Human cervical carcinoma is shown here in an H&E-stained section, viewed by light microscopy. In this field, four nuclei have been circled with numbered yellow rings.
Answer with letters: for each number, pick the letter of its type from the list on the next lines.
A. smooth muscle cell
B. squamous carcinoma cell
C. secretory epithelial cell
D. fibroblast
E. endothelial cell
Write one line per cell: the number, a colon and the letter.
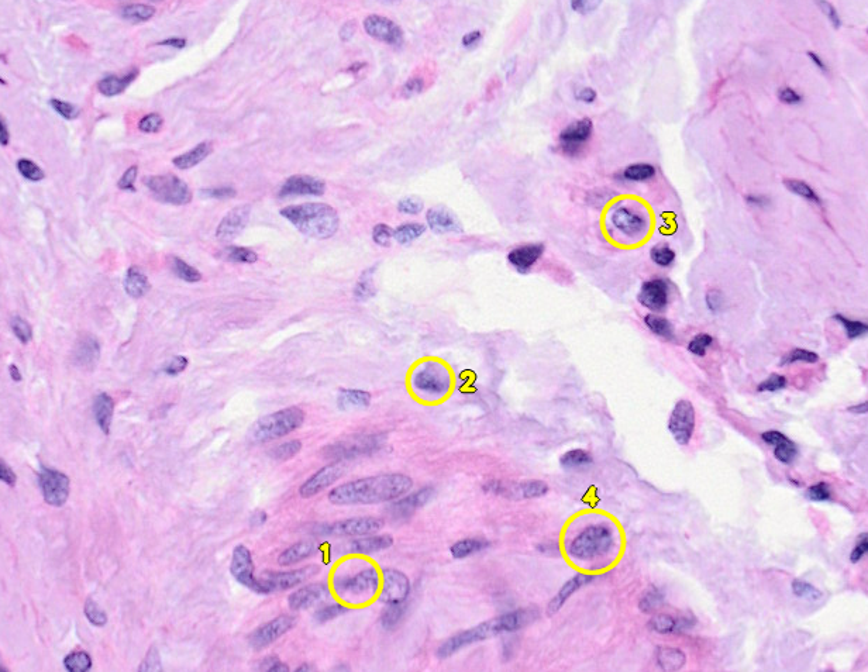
1: A
2: D
3: E
4: A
